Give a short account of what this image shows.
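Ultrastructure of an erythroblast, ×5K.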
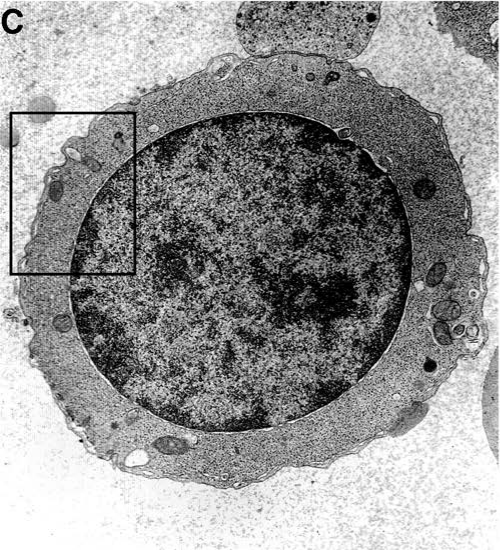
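A round, sharply outlined nucleus lies centrally, with patchy dense chromatin. It is surrounded by a fairly even rim of cytoplasm densely packed with fine granules, containing scattered mitochondria and small vesicles. The cell surface is irregular and ruffled, and thin membrane-bounded spaces lie just beneath it at the periphery. A rectangle marks a region of the cell edge.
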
